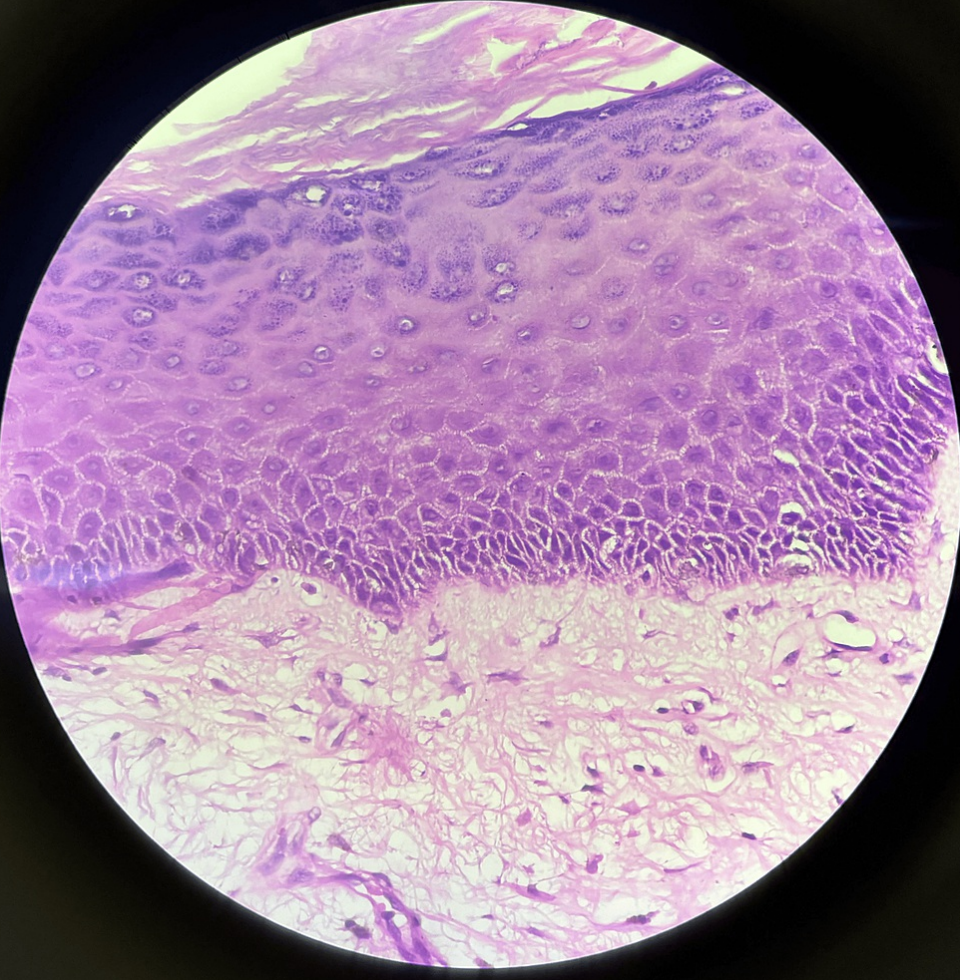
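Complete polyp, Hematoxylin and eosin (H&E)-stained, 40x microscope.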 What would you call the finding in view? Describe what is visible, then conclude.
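Beneath the epithelium lies pale pink connective tissue with widely separated wispy fibres. Scattered small spindle-shaped nuclei sit among wide clear spaces.
Conclusion: stroma, which is loose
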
